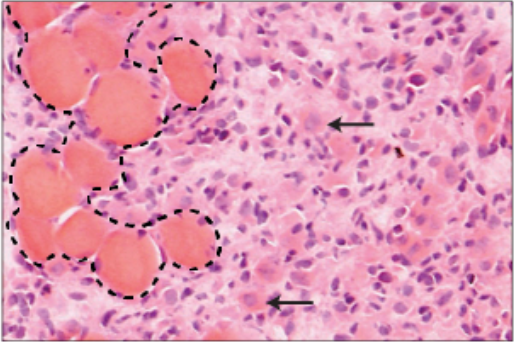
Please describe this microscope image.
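This is a cross-section of injured skeletal muscle stained pink and purple. On the left, a cluster of large deep-pink intact muscle fibers is bounded by dashed lines. The rest of the field is crowded with small purple nuclei of interstitial cells scattered in a pale pink matrix. Only a few small, faint regenerated myofibers can be made out among them.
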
